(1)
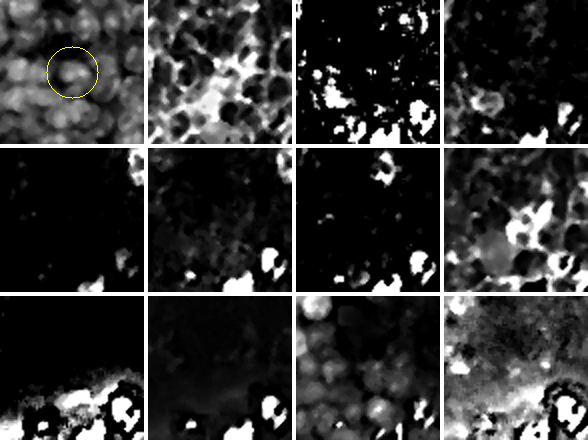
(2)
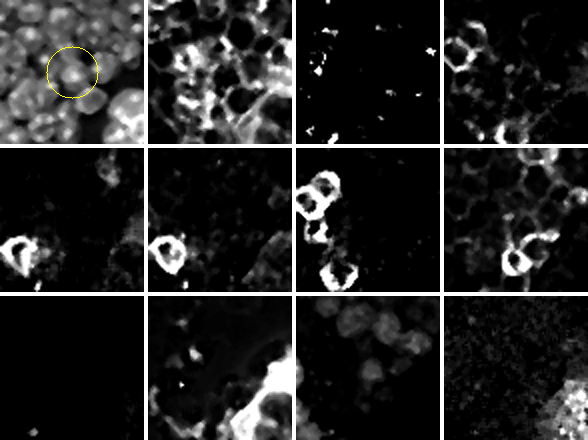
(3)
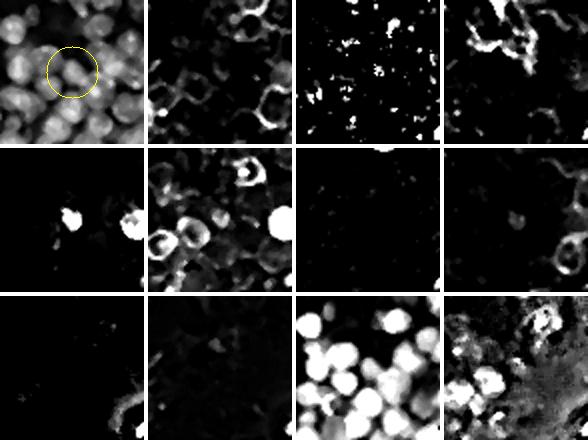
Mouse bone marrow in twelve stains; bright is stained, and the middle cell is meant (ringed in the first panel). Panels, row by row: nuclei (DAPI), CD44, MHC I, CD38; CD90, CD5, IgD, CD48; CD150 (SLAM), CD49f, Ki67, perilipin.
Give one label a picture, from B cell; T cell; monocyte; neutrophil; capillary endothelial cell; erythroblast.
Picture 1: monocyte
Picture 2: B cell
Picture 3: T cell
